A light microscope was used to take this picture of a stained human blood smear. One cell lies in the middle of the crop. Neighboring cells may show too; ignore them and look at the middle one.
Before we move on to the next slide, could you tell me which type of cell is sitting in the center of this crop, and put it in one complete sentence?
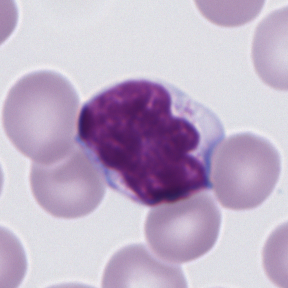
In the centre of this crop there is a large granular lymphocyte.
